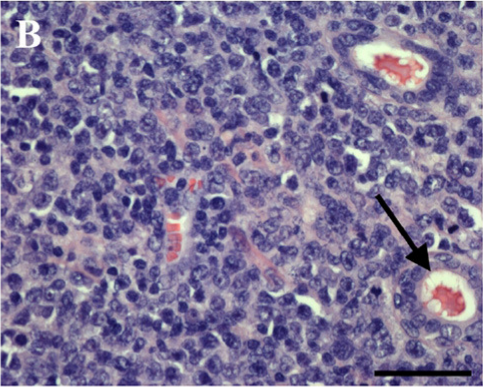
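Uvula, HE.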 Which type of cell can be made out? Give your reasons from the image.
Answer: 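Large tumor cells with irregular and vesicular nuclei. The field is densely filled with cells with large nuclei. Many nuclei are irregular in outline and pale with open chromatin.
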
